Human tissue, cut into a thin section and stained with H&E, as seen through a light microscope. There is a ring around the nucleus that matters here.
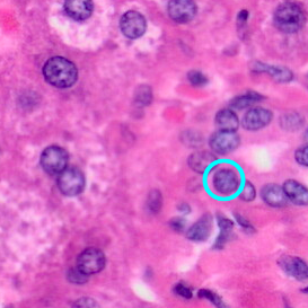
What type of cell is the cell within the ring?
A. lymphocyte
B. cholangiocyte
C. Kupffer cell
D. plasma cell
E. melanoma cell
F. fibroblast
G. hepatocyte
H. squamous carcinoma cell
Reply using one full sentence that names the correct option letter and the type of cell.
Option B is correct here; the cell within the ring is a cholangiocyte.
